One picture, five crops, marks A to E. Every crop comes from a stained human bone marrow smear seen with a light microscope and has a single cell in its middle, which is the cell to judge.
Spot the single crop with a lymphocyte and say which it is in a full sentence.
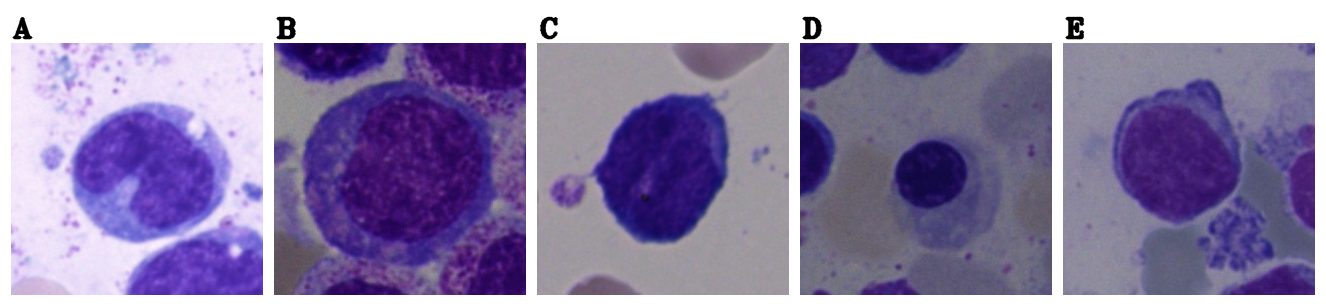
The one crop that shows a lymphocyte is crop E.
